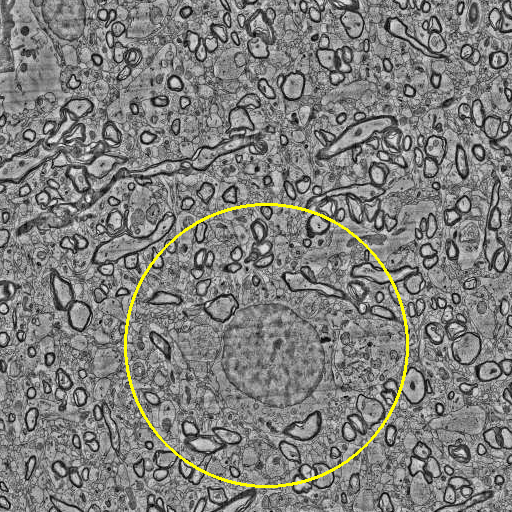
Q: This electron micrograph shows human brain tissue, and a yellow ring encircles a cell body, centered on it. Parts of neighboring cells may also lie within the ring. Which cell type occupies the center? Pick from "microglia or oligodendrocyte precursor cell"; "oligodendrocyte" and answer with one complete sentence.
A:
What sits at the ring's center in this micrograph is an oligodendrocyte, among those choices.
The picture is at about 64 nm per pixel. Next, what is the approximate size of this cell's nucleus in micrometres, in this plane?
About 7 by 6 micrometres in this plane.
